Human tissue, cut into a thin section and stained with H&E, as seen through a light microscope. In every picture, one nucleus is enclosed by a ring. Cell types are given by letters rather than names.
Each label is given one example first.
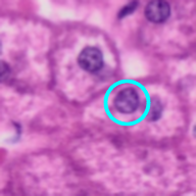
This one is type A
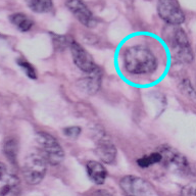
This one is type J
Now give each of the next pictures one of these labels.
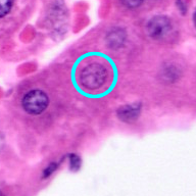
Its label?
type A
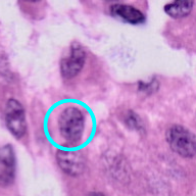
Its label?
type J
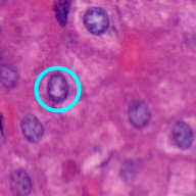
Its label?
type A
